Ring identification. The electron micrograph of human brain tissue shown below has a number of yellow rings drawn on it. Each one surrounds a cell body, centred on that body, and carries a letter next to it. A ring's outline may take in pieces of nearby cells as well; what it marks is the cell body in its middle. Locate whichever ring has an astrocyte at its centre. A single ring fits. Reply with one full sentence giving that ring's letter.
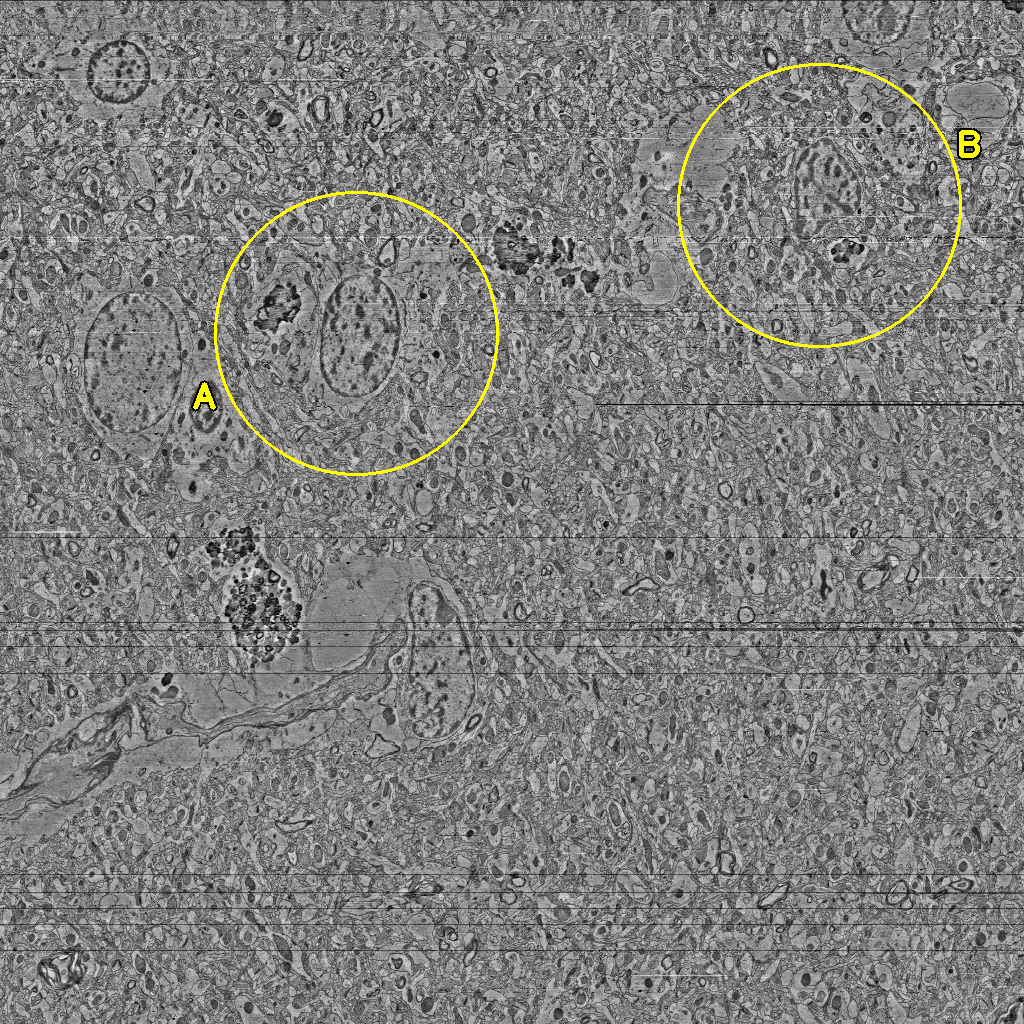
The letter A belongs to the ring centred on a cell of that kind.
